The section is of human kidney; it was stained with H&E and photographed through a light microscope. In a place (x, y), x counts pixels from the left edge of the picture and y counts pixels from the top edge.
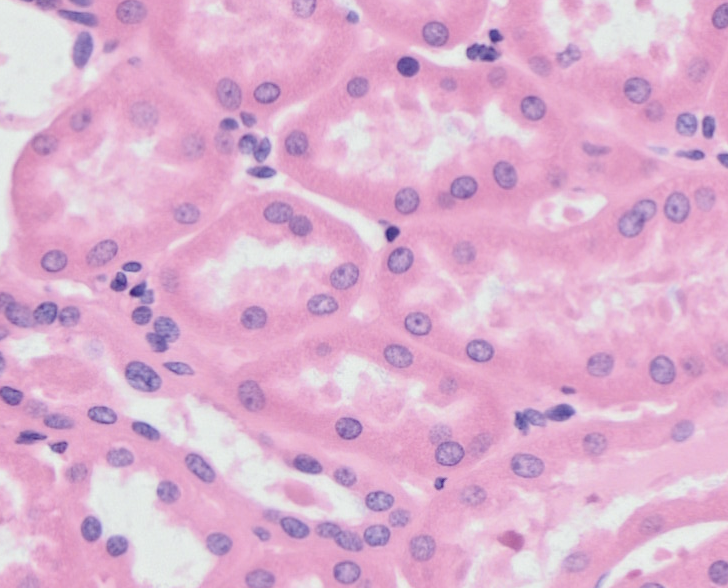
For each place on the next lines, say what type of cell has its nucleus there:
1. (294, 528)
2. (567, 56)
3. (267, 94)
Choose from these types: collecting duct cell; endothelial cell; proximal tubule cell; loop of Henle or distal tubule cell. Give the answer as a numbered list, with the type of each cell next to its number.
1. collecting duct cell
2. proximal tubule cell
3. proximal tubule cell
